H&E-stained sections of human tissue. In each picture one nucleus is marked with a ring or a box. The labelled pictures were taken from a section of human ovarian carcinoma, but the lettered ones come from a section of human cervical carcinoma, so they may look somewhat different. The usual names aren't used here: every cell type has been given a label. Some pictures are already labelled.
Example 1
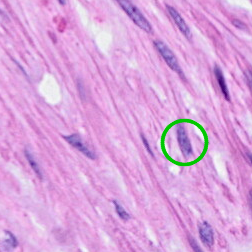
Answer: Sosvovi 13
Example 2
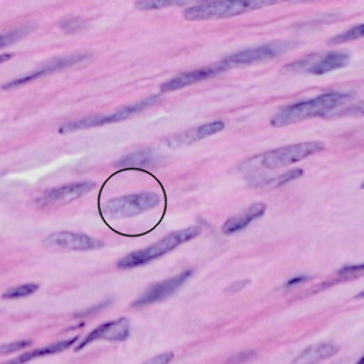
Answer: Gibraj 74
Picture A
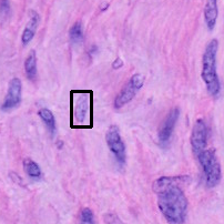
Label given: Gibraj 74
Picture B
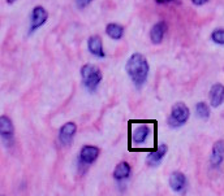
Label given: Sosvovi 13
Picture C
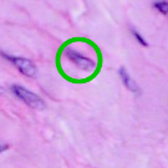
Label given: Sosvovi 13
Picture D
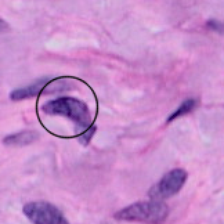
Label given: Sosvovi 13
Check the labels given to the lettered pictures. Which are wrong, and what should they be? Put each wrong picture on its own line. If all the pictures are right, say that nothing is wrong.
B should be Gibraj 74, not Sosvovi 13
C should be Gibraj 74, not Sosvovi 13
